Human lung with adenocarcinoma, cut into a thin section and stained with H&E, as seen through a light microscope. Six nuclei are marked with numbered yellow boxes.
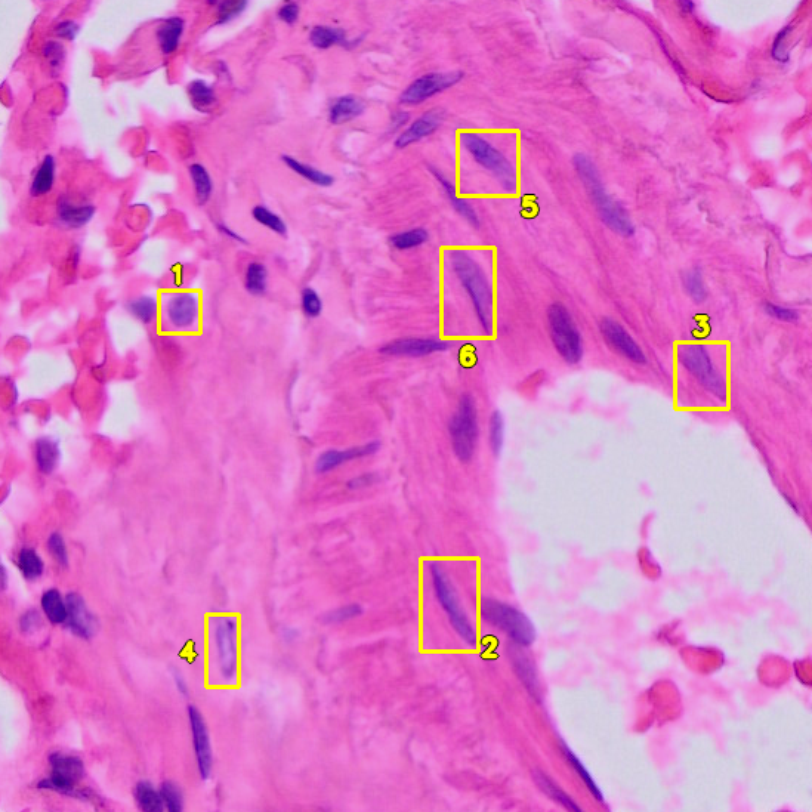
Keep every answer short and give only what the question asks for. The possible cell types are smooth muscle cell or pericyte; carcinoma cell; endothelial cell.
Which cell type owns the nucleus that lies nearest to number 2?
endothelial cell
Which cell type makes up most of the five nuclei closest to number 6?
smooth muscle cell or pericyte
